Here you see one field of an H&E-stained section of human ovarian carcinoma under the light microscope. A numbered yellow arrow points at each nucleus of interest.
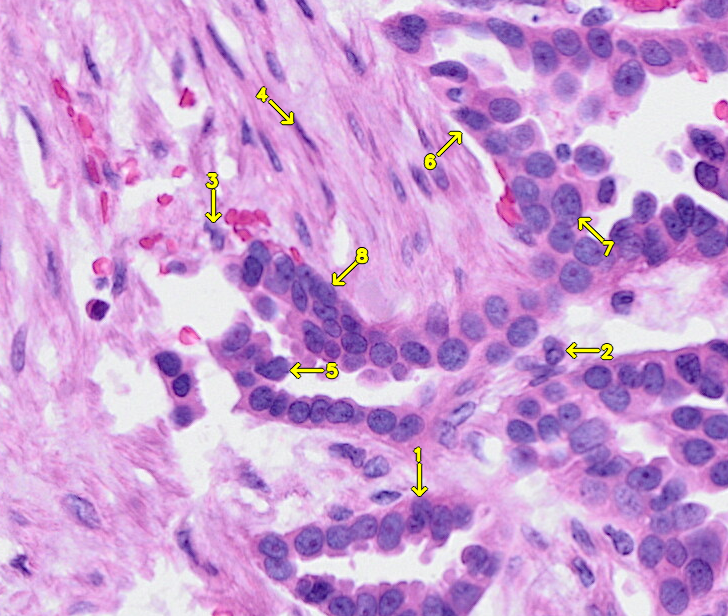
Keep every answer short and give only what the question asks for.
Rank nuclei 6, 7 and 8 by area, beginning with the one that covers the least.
8, 6, 7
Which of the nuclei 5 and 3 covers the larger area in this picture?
5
